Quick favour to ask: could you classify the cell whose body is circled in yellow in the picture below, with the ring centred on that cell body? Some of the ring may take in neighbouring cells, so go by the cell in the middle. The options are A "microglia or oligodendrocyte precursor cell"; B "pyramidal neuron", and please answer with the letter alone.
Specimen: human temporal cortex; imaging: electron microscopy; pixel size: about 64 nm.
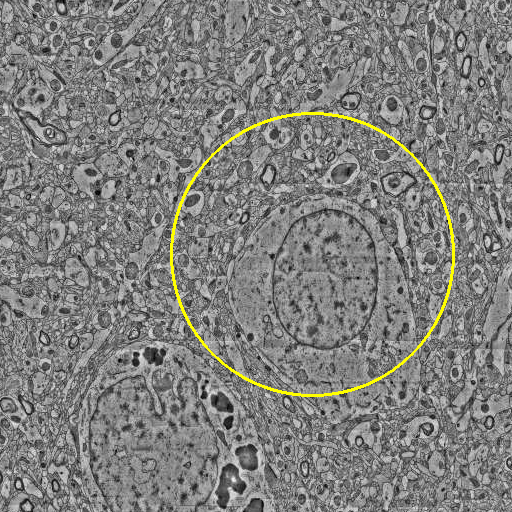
B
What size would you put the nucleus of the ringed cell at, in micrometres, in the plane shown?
In this plane the nucleus measures roughly 9 by 7 micrometers.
